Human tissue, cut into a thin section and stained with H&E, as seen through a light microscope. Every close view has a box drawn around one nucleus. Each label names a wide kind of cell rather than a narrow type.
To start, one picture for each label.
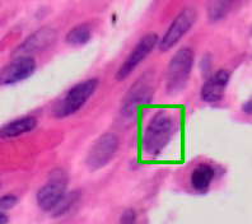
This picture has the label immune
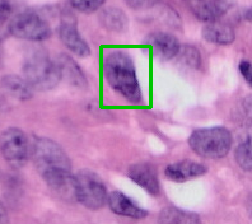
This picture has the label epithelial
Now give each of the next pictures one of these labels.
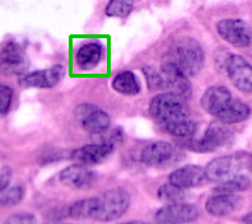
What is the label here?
immune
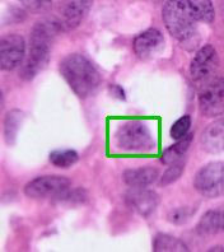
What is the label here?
immune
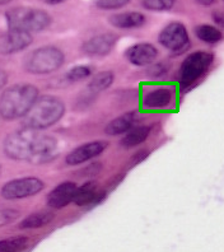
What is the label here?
epithelial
